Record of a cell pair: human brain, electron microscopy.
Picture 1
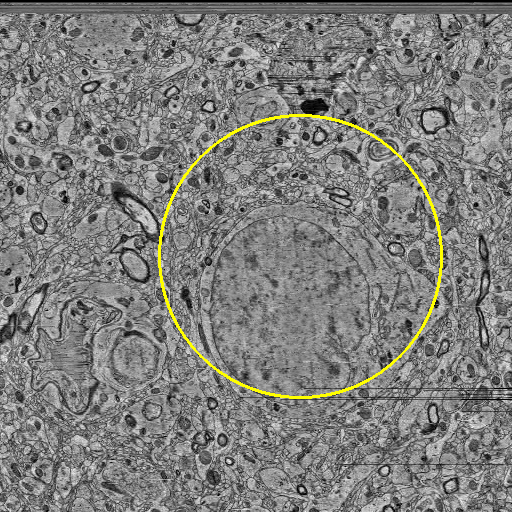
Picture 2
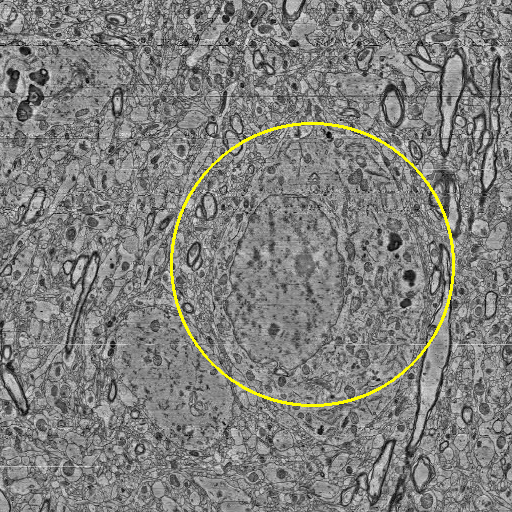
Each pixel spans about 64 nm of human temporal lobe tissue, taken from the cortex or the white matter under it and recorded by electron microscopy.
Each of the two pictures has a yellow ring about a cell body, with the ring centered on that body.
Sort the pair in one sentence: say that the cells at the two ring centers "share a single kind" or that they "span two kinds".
The cells centered in the rings of Pictures 1 and 2 share a single kind.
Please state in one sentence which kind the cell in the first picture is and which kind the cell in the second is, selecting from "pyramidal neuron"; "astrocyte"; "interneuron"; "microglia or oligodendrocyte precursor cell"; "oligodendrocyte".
Each cell at the centre of a ring is an interneuron.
